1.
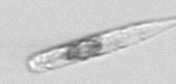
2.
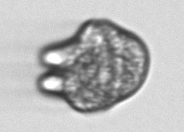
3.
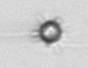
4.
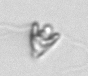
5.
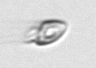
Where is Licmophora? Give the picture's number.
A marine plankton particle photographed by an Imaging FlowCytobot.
1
